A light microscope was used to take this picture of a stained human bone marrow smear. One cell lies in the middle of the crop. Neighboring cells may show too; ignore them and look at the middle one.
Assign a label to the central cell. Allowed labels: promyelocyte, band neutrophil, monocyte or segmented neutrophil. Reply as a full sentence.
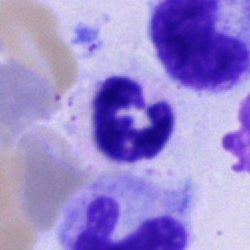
The cell in the middle of the field of view is a segmented neutrophil.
